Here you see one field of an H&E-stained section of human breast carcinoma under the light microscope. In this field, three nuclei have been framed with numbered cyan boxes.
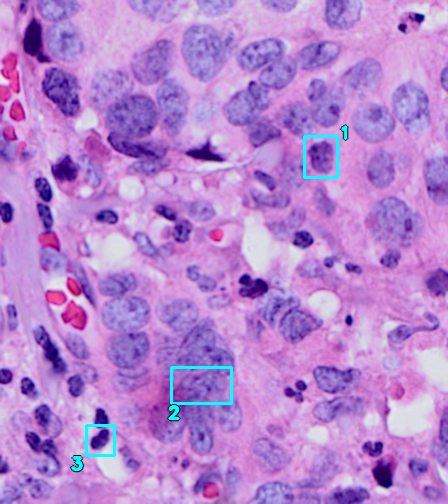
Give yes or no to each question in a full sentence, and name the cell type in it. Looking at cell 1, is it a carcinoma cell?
Yes, regarding number 1, the cell is a carcinoma cell.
